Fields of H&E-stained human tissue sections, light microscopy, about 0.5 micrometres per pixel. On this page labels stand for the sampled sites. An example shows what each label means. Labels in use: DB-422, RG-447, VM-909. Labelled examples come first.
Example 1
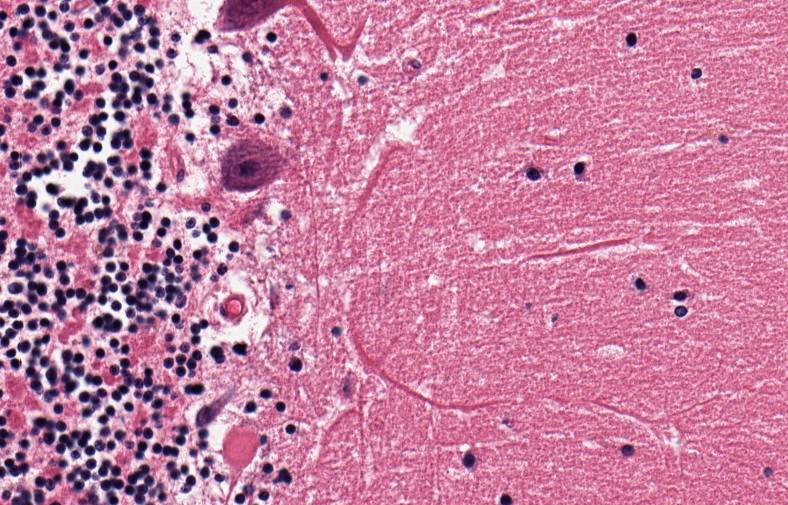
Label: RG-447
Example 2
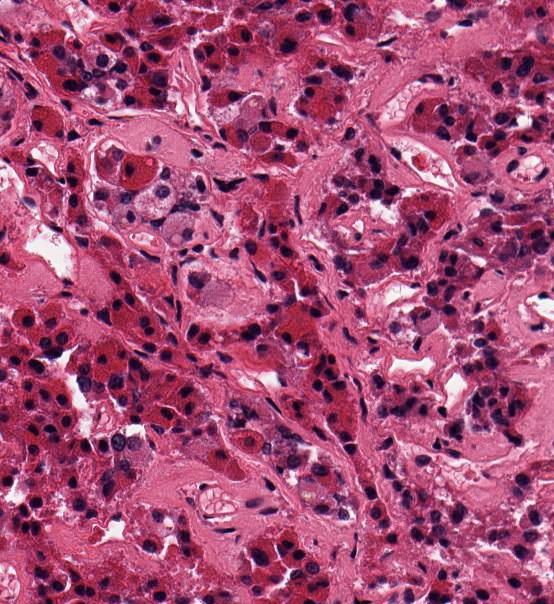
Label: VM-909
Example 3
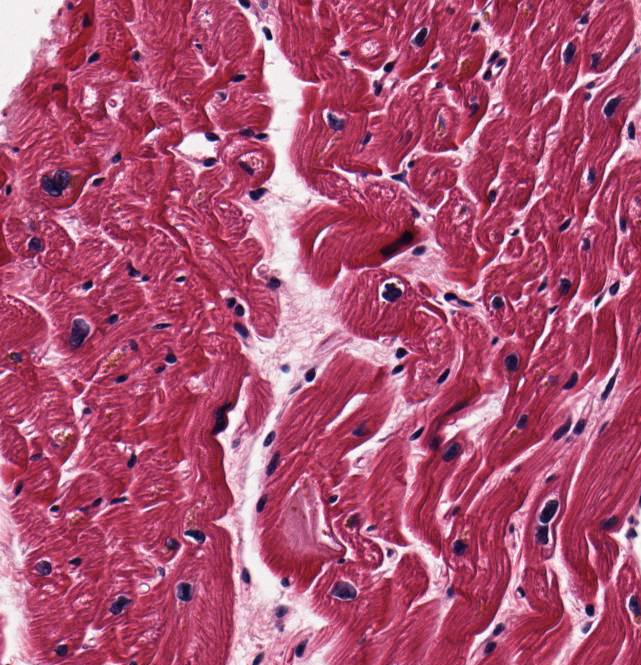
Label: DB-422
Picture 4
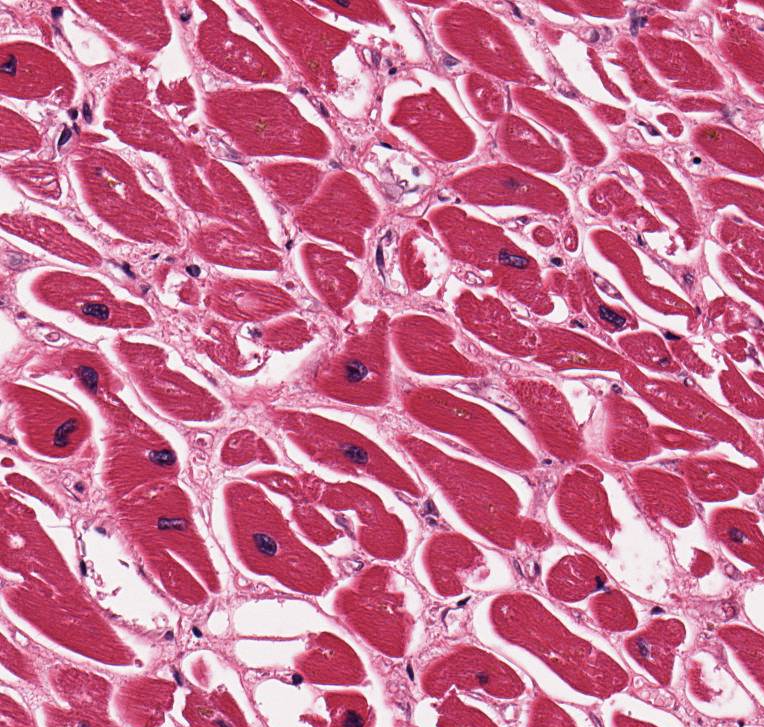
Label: DB-422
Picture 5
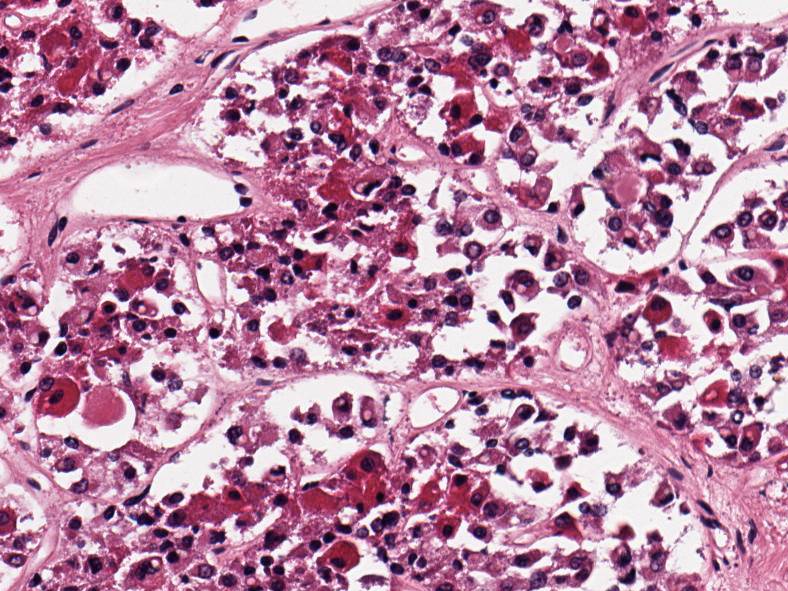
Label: VM-909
